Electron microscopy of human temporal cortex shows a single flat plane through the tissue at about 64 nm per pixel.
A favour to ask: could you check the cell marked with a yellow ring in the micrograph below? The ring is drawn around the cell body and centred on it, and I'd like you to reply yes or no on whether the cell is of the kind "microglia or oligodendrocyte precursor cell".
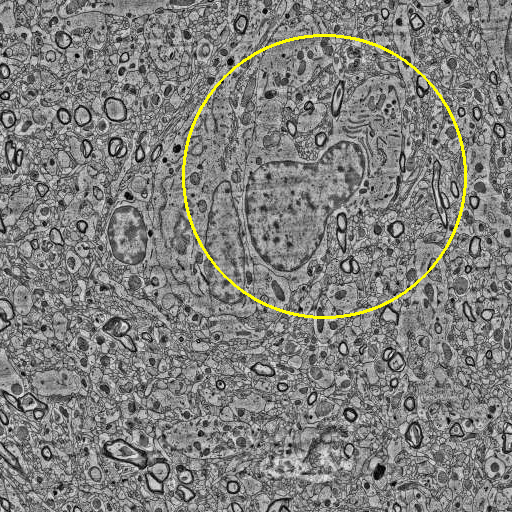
yes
